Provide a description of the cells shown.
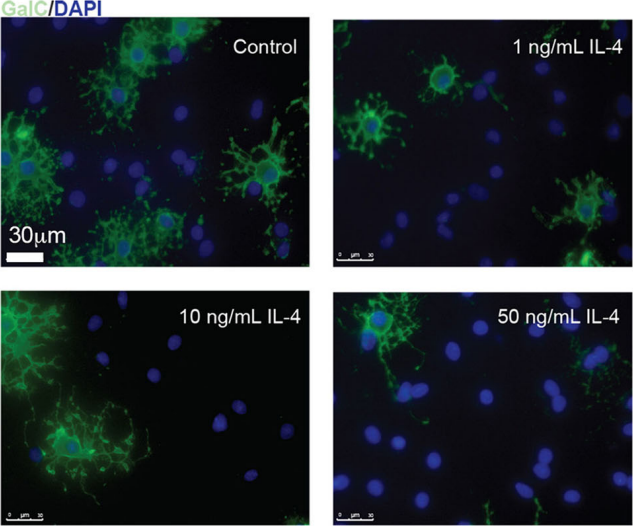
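Four fields of cultured oligodendrocytes on a dark background, each scattered with oval blue nuclei. Only some of the nuclei are wrapped by green cells; the rest lie bare. Each green cell has a compact, rounded body around its nucleus from which many thin processes radiate and branch, in places forming a dense lacy web. Some green cells spread their processes widely, while others have shorter, tufted processes close to the cell body.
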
